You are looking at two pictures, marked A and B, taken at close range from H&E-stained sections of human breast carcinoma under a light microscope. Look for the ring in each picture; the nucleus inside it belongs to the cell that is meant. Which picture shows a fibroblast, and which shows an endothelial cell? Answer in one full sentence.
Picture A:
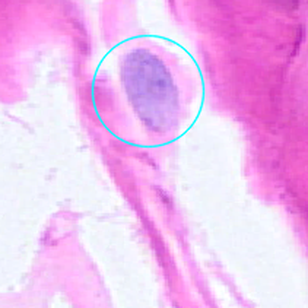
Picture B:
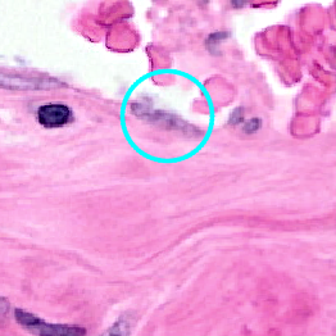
Picture B shows an endothelial cell, while picture A shows a fibroblast.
